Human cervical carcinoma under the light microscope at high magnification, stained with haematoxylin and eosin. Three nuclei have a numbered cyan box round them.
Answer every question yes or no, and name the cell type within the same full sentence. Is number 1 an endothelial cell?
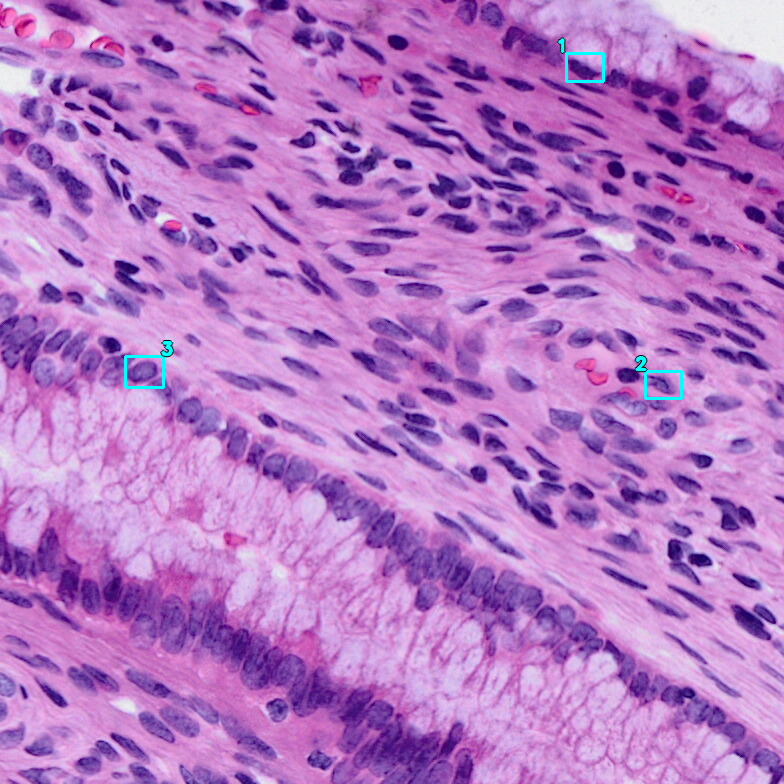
No, the cell tagged 1 is a secretory epithelial cell, not an endothelial cell.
